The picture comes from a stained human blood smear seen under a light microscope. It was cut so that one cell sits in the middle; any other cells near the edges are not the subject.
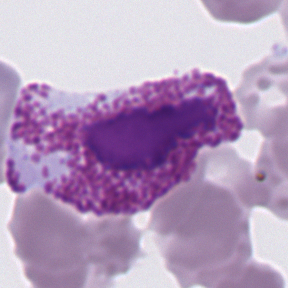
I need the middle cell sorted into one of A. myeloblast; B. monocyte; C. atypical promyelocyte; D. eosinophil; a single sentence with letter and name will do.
The cell right in the middle is an eosinophil, so option D is the one.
